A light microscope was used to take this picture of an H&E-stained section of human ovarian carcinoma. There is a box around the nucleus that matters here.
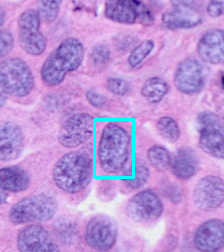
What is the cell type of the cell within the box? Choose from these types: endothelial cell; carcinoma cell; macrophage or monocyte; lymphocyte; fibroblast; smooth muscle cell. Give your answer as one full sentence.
This is a carcinoma cell.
